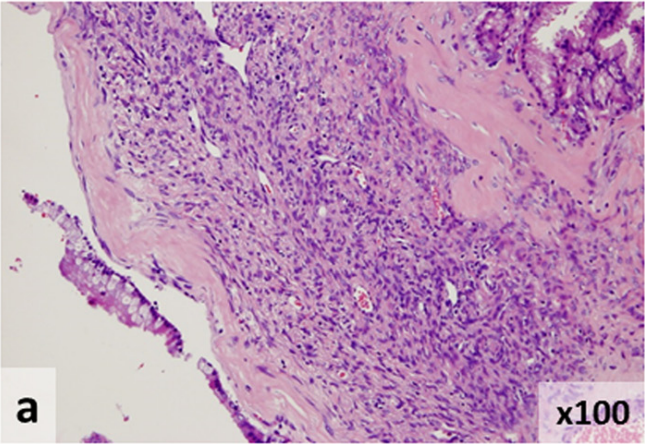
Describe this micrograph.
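The cyst wall is lined by a single layer of tall columnar epithelial cells with pale, mucin-rich apical cytoplasm and small basal nuclei, without significant atypia. Beneath it lies a densely cellular stroma of closely packed spindle cells with plump oval dark nuclei, bordered by bands of pink collagen and containing small blood vessels.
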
